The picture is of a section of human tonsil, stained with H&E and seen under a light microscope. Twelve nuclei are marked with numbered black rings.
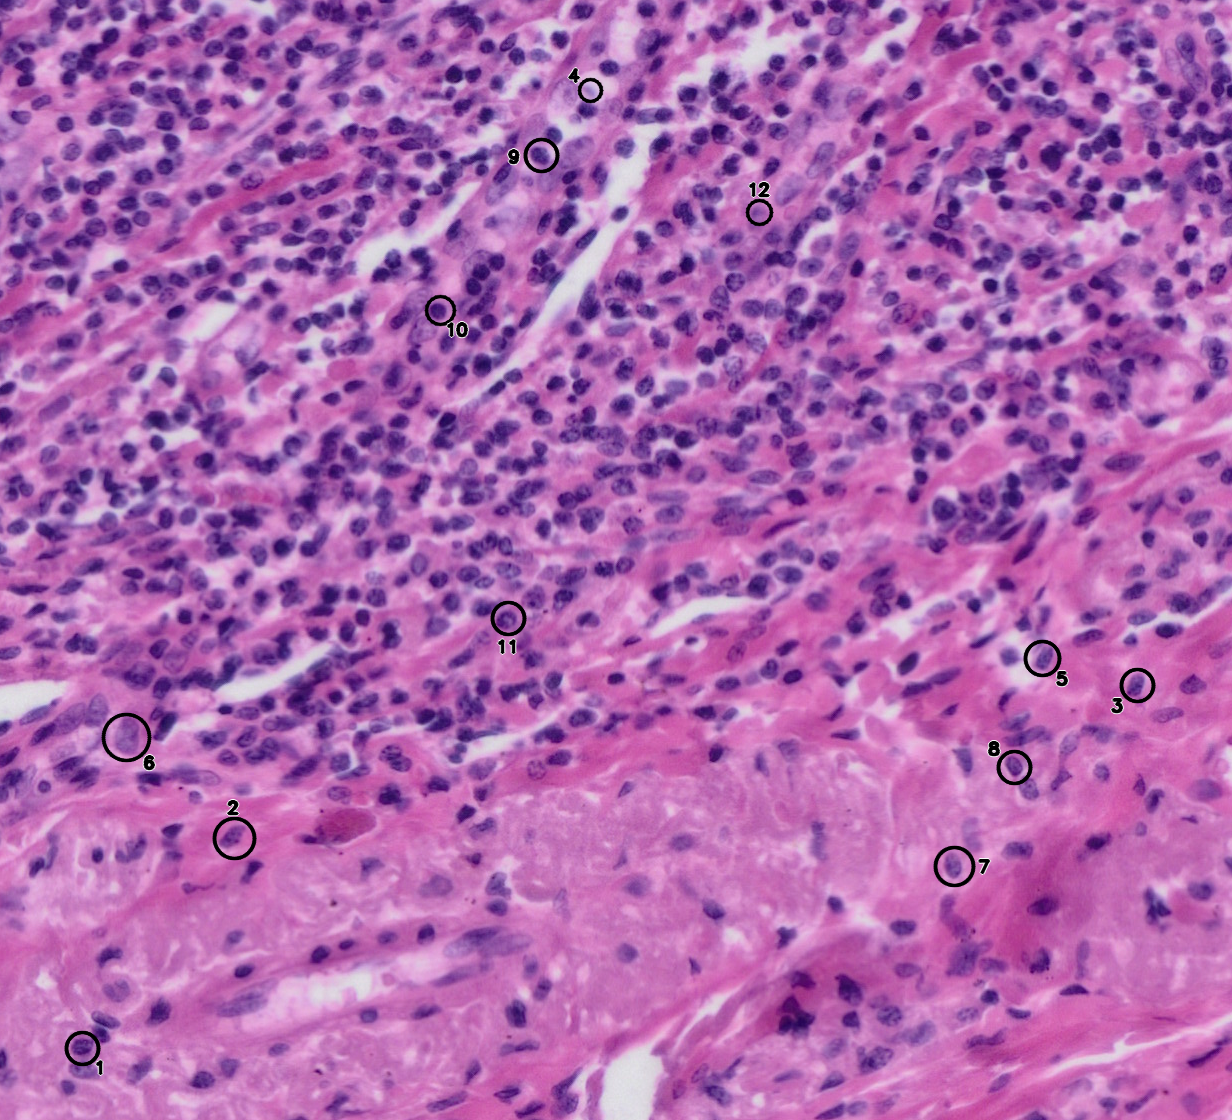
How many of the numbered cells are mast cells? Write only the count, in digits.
5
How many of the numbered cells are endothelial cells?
5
